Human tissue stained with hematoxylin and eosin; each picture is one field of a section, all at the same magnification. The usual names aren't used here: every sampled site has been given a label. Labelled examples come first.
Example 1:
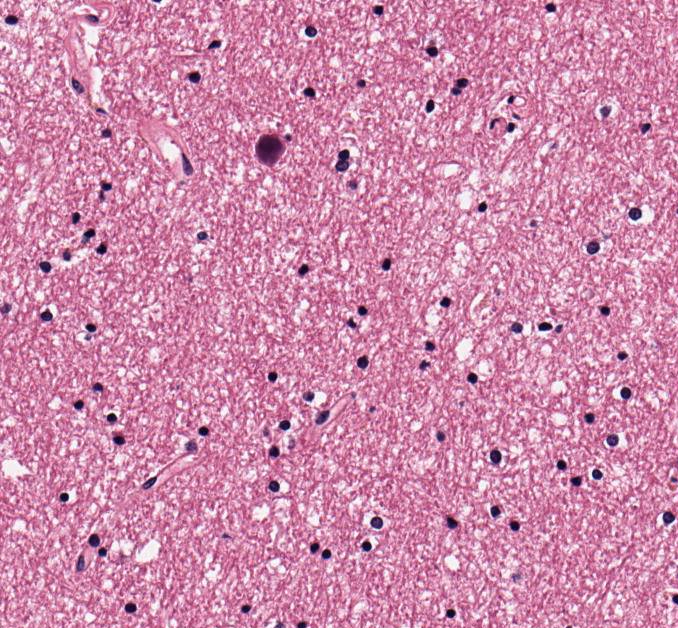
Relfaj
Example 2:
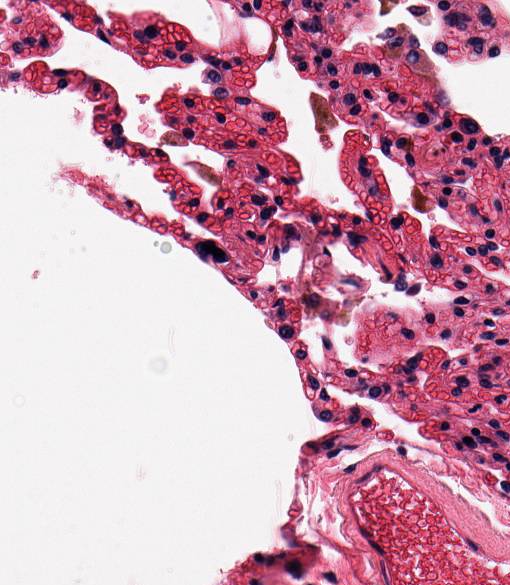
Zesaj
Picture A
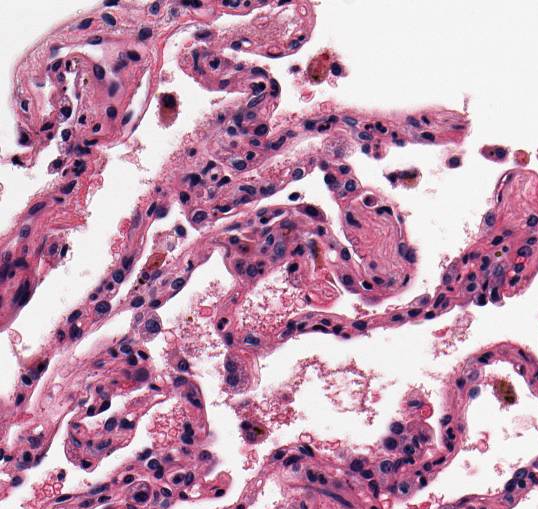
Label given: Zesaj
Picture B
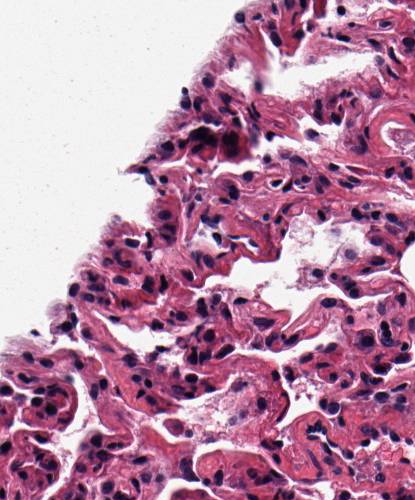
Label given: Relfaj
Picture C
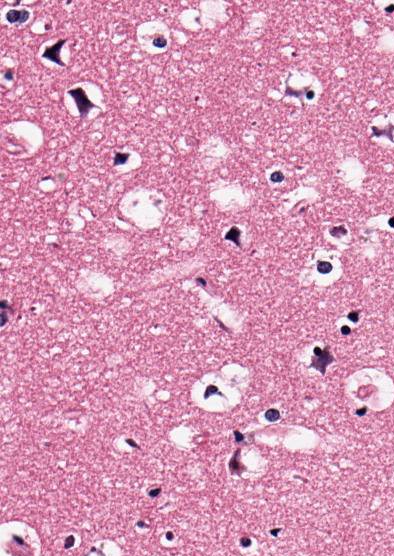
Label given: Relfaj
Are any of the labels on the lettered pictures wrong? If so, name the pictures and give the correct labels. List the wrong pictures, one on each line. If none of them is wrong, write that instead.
B is labelled Relfaj; correct label: Zesaj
